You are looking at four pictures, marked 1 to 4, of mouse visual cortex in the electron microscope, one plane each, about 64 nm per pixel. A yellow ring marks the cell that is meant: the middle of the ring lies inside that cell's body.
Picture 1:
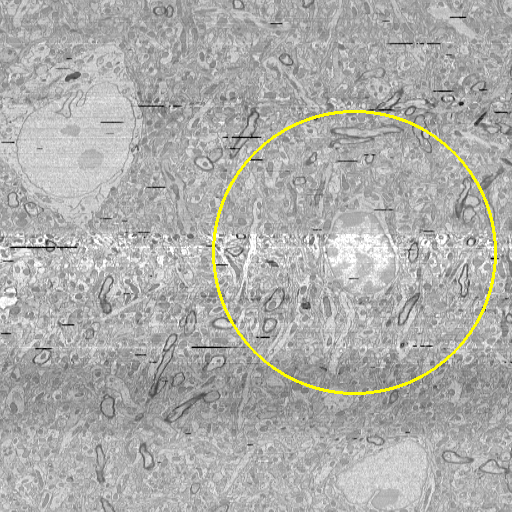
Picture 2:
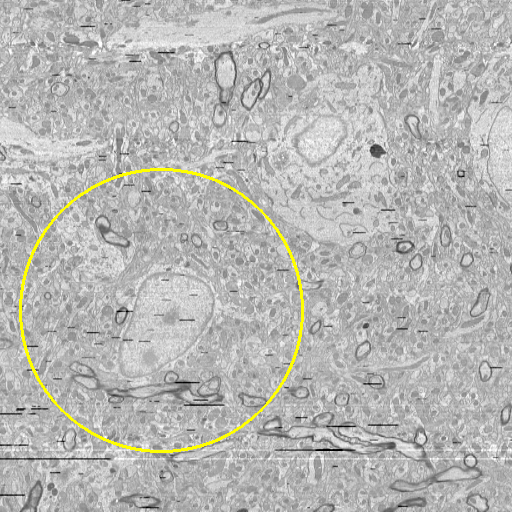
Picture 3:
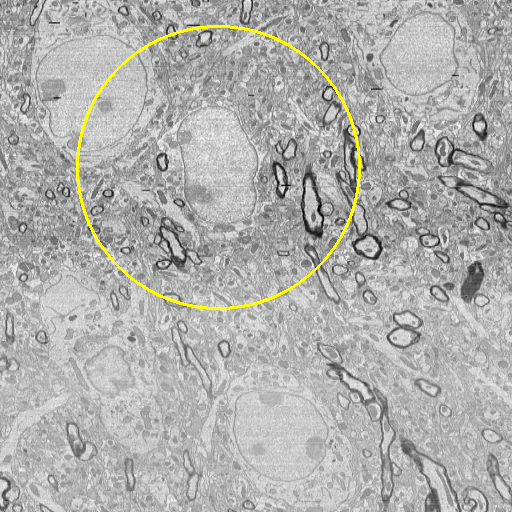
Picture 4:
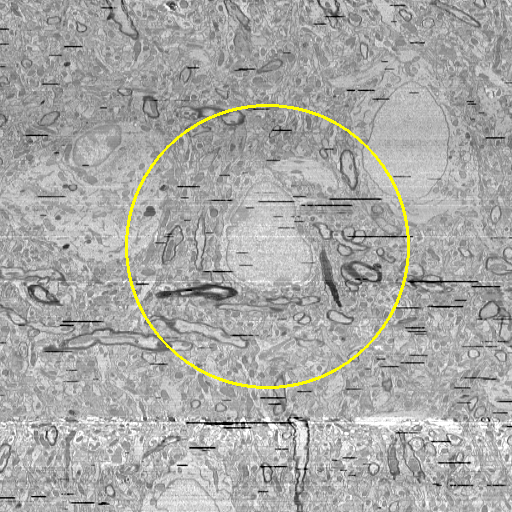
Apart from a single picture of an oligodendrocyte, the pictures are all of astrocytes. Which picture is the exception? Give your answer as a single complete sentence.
Picture 1 shows the oligodendrocyte.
